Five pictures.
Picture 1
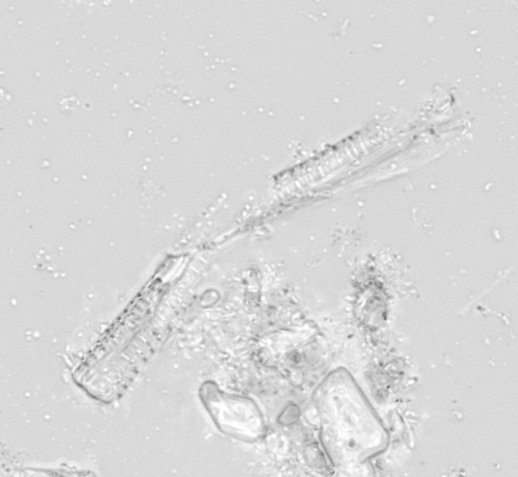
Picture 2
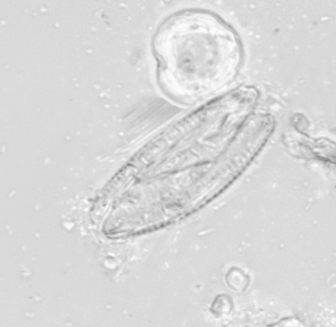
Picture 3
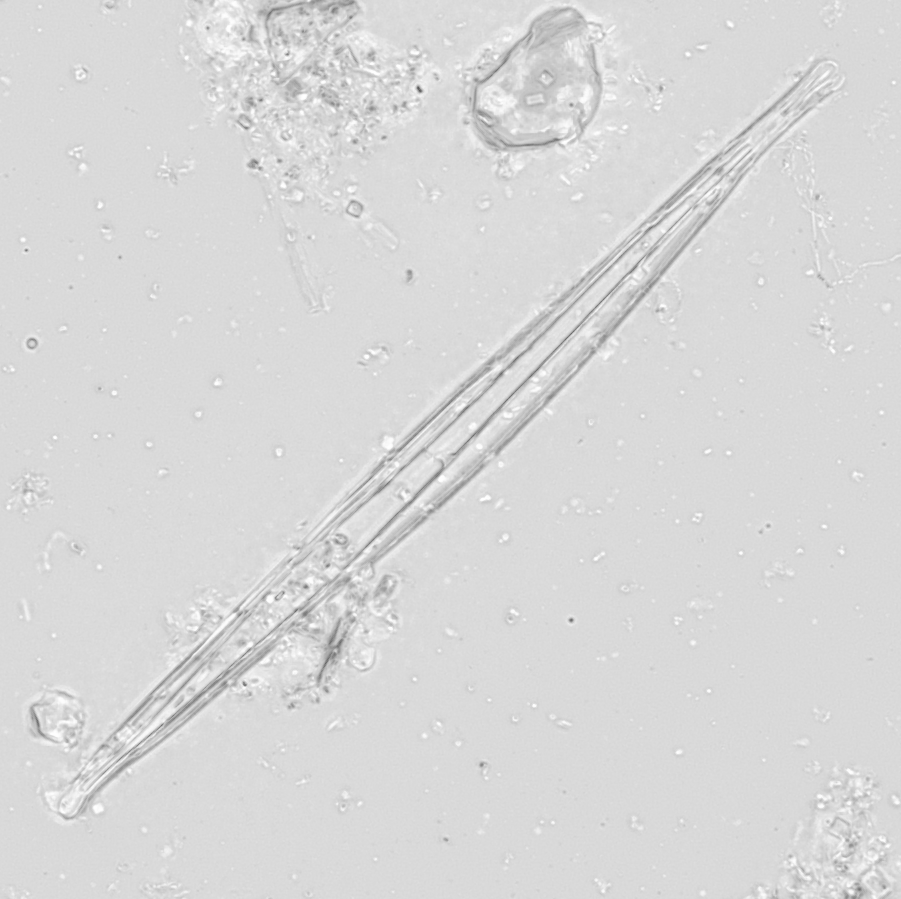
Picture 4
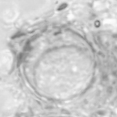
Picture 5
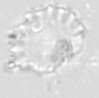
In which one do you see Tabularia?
In picture 3.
